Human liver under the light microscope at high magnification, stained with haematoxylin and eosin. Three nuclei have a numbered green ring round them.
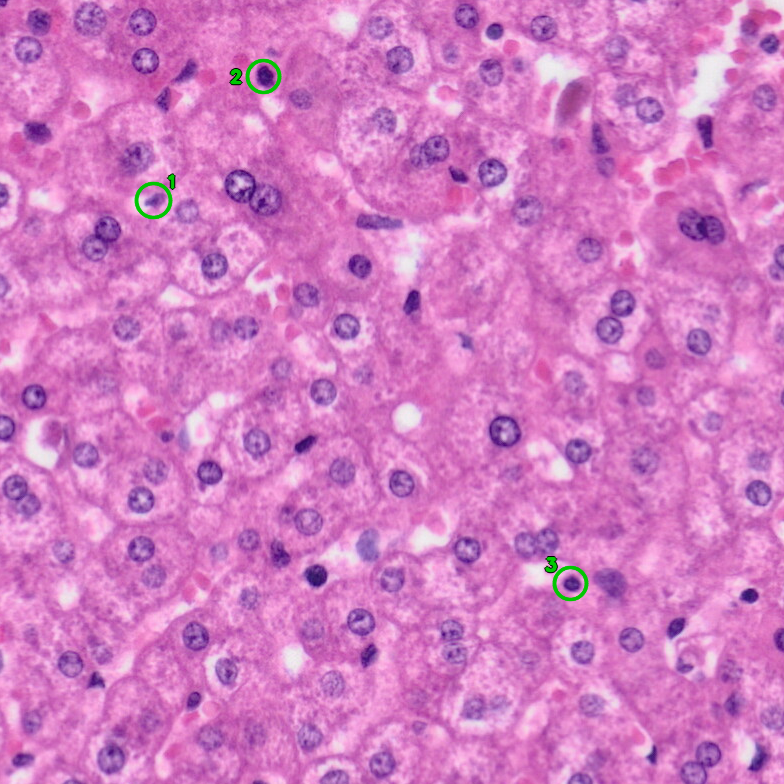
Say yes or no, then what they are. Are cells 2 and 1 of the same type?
No, cell 2 is a lymphocyte, whereas cell 1, for its part, is an endothelial cell.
